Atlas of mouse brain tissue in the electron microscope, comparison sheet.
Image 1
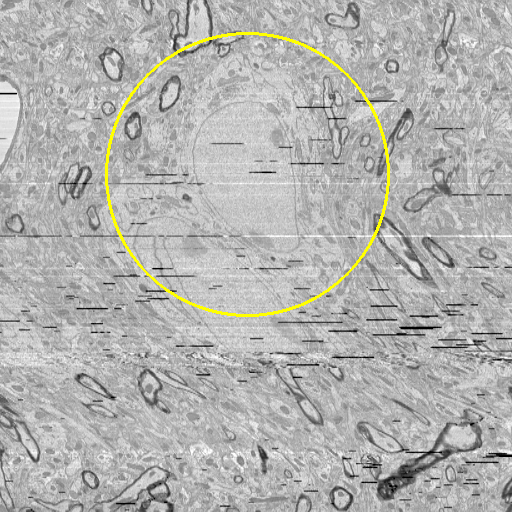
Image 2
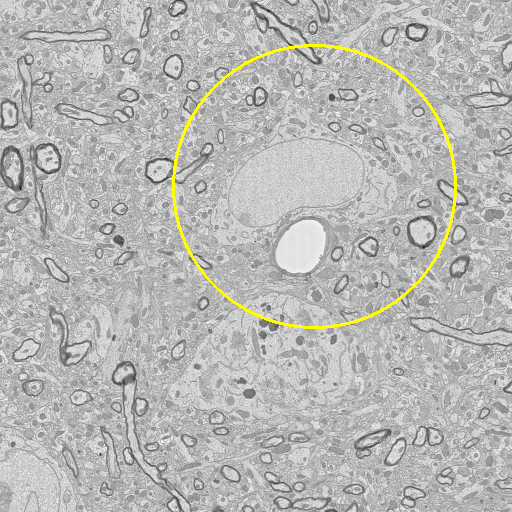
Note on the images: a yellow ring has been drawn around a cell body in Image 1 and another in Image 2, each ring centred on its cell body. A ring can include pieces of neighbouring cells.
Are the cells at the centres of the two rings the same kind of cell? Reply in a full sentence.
Yes, both cells are of the same kind.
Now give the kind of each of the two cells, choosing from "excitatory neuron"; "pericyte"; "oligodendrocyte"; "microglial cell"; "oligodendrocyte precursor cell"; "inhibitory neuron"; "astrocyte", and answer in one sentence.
The second cell is an excitatory neuron, just as the first is.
